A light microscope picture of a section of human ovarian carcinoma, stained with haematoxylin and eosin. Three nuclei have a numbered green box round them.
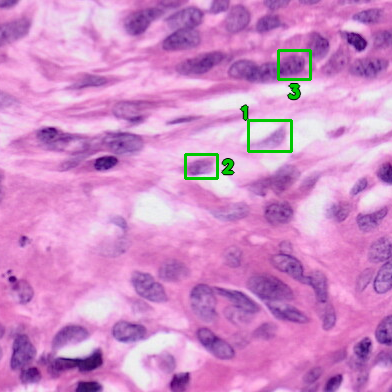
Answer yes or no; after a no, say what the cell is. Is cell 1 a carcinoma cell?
No, it is a fibroblast.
